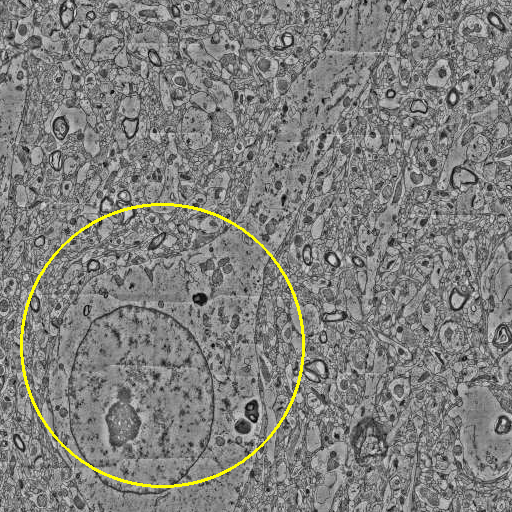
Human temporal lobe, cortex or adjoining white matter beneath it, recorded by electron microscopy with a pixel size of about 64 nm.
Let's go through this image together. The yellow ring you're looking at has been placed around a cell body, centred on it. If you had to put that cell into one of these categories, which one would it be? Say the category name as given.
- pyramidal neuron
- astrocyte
pyramidal neuron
